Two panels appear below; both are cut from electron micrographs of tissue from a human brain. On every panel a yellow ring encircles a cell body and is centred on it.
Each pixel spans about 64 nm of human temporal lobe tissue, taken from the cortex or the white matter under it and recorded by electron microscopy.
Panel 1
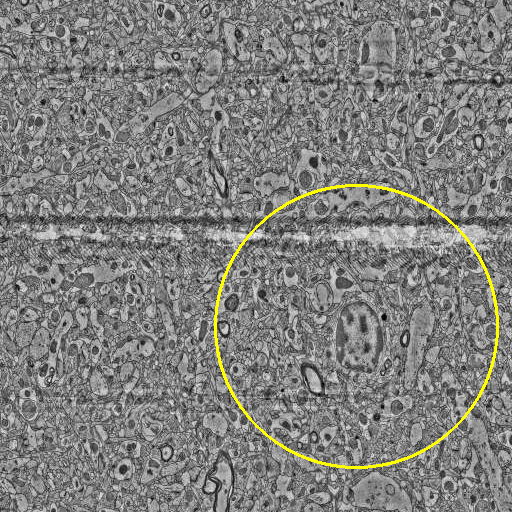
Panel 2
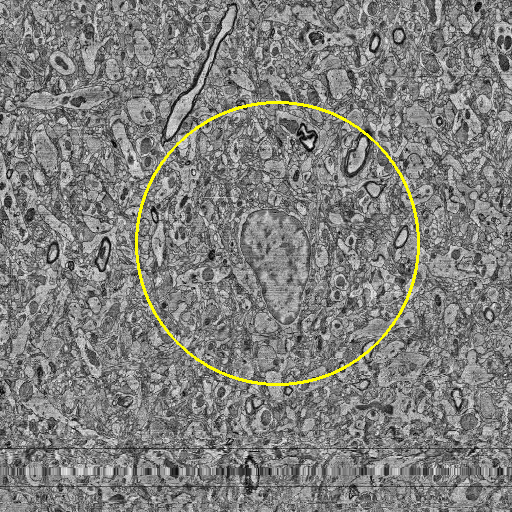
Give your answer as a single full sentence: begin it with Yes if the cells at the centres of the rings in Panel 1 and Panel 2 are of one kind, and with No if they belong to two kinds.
Yes, the cells in the middle of the rings in Panels 1 and 2 are of one kind.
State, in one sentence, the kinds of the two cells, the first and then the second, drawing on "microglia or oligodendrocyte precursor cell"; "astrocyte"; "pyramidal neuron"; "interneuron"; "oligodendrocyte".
Each one of the two ringed cells is a microglial cell or oligodendrocyte precursor cell.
